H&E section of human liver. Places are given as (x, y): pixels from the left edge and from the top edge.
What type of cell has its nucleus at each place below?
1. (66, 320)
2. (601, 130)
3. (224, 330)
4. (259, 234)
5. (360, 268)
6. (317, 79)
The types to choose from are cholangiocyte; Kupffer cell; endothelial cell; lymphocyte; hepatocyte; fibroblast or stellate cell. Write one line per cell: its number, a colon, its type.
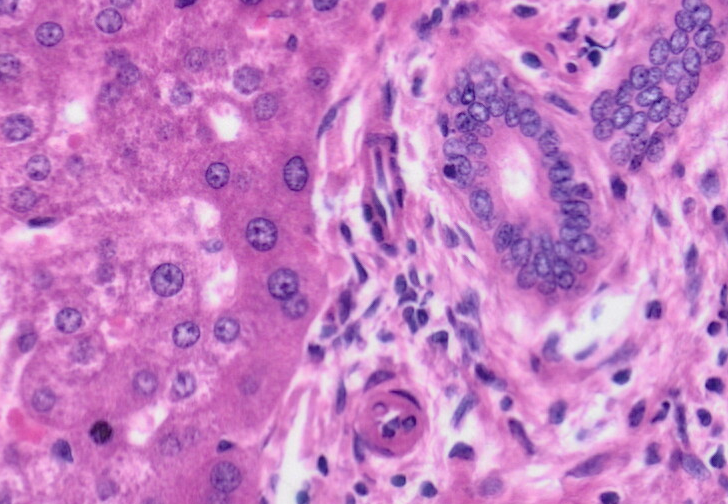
1: hepatocyte
2: cholangiocyte
3: hepatocyte
4: hepatocyte
5: fibroblast or stellate cell
6: hepatocyte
